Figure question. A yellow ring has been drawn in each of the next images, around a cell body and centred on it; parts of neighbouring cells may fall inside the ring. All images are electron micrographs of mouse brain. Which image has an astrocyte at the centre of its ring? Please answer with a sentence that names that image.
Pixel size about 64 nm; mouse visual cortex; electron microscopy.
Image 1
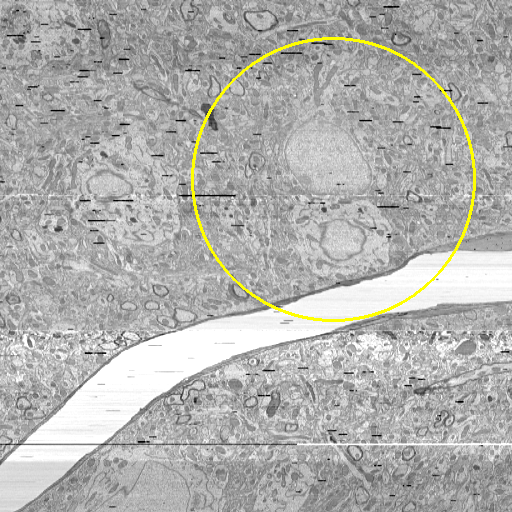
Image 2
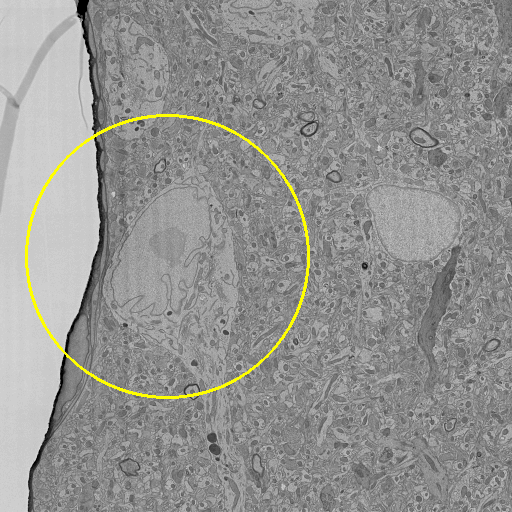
The cell at the centre of the ring in Image 1 is of that kind.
